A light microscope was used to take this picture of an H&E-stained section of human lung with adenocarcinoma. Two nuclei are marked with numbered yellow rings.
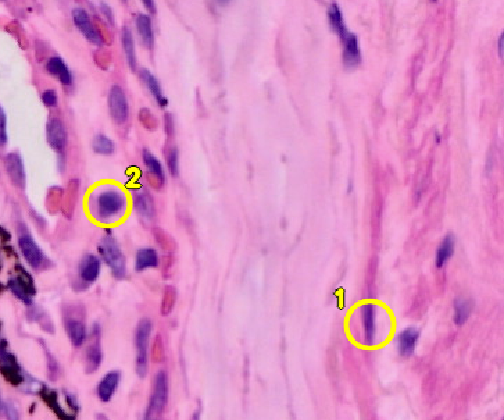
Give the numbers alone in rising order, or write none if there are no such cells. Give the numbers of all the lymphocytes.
2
